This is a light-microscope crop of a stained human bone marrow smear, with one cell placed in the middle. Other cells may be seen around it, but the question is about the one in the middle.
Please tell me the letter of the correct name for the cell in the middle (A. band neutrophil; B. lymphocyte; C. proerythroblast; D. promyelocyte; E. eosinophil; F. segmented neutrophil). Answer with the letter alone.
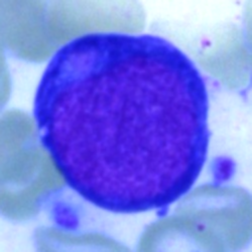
C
